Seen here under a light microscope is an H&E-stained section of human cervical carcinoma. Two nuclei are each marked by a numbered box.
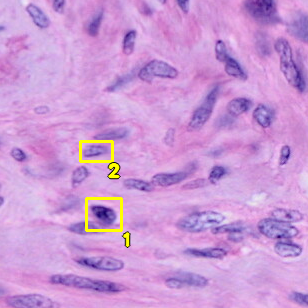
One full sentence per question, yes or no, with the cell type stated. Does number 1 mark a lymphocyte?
Yes, that is so; number 1 marks a lymphocyte.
